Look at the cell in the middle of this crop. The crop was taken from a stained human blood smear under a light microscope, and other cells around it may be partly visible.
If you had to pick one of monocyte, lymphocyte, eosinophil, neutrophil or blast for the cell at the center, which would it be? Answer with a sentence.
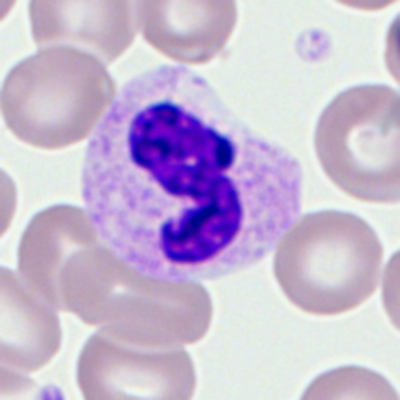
Centrally within this crop lies a neutrophil.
